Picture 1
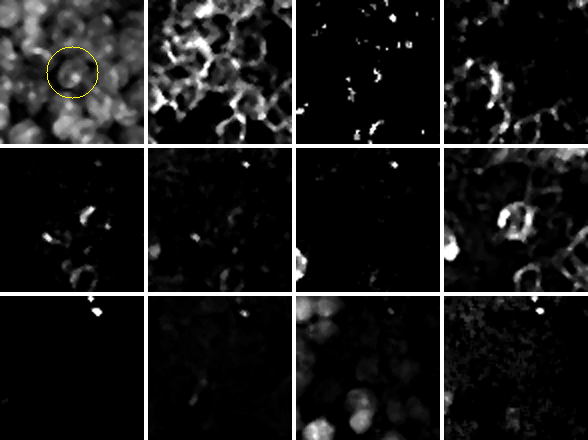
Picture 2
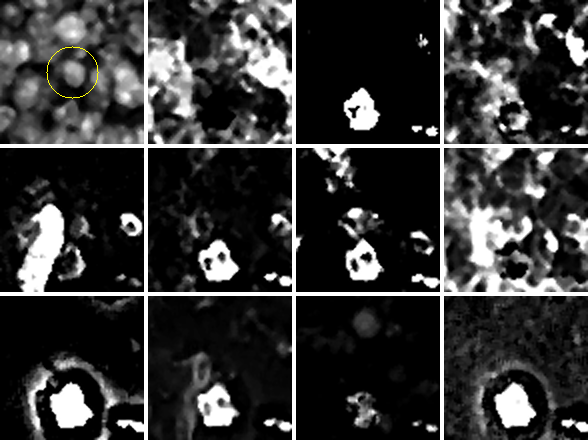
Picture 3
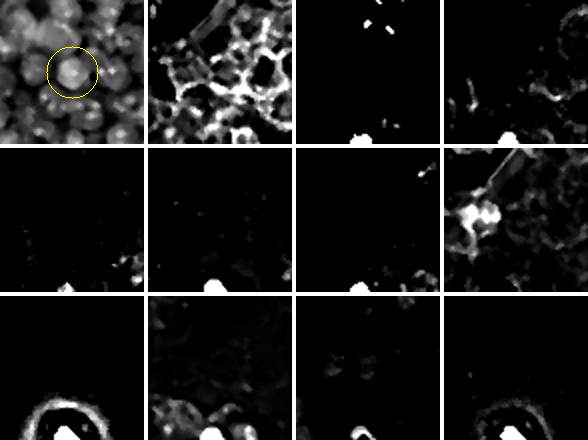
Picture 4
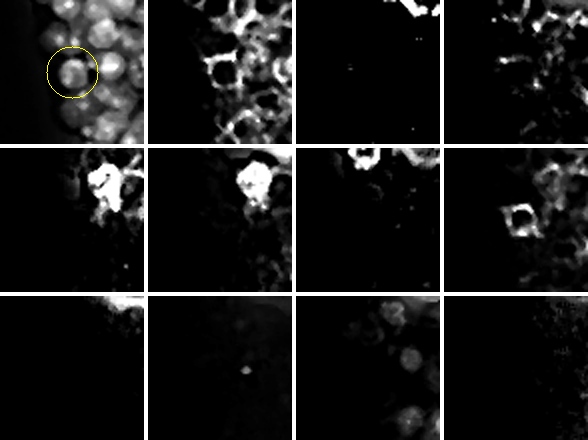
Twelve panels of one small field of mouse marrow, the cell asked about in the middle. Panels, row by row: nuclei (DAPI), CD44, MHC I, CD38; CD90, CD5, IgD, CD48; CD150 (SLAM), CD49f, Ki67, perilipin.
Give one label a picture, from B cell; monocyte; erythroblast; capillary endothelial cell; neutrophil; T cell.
1: monocyte
2: B cell
3: neutrophil
4: monocyte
